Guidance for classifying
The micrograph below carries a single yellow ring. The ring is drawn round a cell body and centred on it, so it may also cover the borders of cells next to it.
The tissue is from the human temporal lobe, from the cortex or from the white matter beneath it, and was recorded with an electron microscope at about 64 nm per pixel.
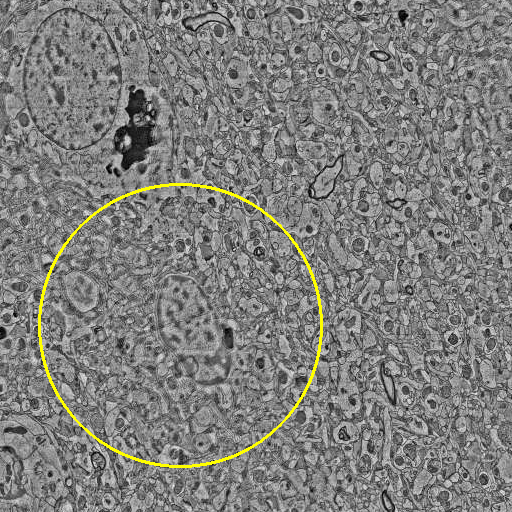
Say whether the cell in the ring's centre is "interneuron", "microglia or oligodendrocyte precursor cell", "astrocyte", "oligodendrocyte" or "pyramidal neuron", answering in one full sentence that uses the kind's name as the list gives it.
Within the yellow ring, a microglial cell or oligodendrocyte precursor cell is the cell whose body sits at the centre.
